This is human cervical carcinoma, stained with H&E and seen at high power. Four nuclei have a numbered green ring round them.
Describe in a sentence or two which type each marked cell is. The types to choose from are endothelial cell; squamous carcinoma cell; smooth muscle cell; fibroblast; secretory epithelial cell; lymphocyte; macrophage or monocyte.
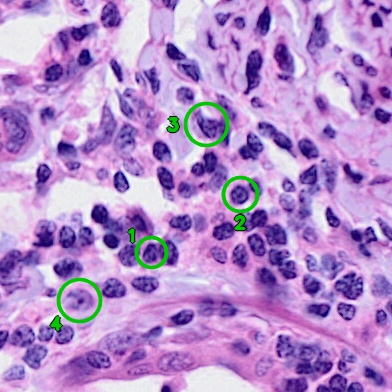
Cell 1 is a lymphocyte, cell 2 is a lymphocyte, cell 3 is a lymphocyte and cell 4 is a macrophage or monocyte.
